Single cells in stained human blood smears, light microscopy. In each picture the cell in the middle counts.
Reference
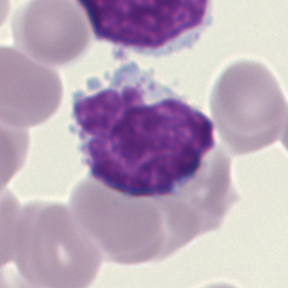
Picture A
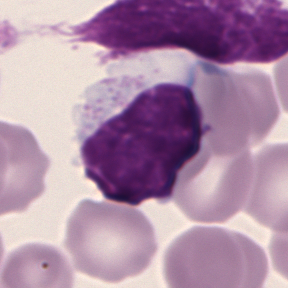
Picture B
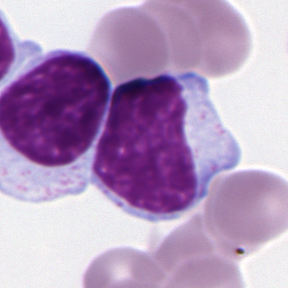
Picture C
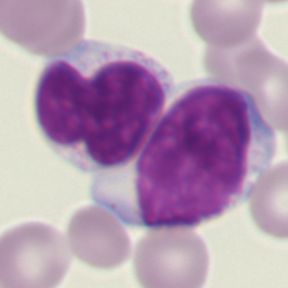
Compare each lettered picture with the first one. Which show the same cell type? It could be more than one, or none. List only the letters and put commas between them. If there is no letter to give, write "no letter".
A, B, C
